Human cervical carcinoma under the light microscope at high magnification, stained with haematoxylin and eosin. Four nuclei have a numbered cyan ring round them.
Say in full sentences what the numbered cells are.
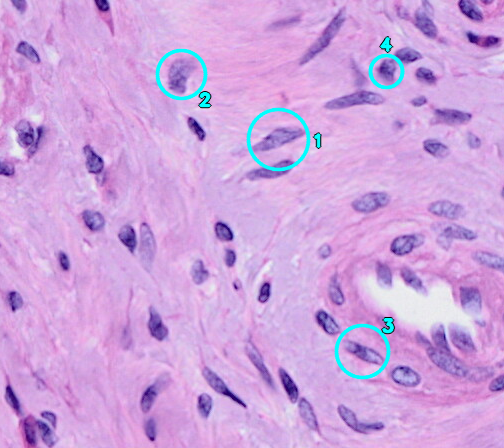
Cell 1 is a fibroblast, cell 2 is a fibroblast, cell 3 is a smooth muscle cell and cell 4 is a fibroblast.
